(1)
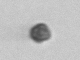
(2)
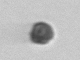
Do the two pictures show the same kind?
Yes, both are Gephyrocapsa huxleyi.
